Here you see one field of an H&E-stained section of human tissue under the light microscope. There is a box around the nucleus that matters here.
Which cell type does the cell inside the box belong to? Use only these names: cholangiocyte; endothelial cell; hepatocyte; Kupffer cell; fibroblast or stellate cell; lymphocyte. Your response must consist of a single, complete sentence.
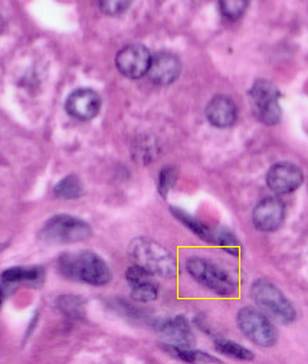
In cell-type terms, the cell inside the box is a cholangiocyte.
